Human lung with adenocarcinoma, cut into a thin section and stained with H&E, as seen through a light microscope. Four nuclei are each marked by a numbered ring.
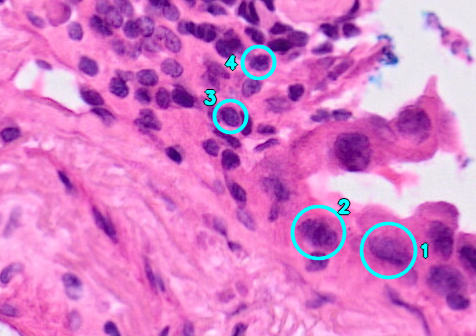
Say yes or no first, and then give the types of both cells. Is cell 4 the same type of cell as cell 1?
No, a carcinoma cell is what cell 1 is, while cell 4 is a lymphocyte.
